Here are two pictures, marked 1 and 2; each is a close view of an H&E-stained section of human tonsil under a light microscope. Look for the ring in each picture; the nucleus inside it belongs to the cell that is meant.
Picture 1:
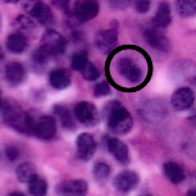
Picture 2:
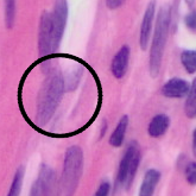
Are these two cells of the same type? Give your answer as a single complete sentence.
Yes, both cells are endothelial cells.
